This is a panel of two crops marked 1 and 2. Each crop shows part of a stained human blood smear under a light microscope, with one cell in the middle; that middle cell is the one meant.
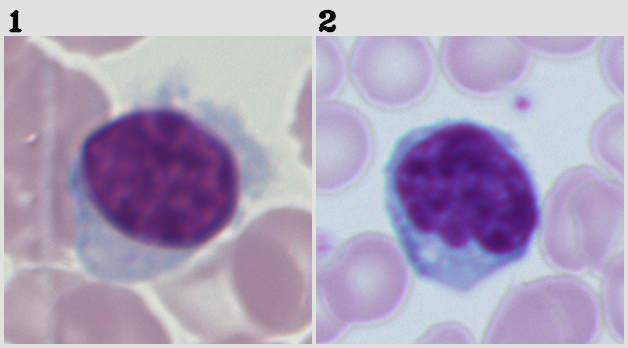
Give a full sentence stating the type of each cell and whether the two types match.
Yes, they do, both crops show typical lymphocytes.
